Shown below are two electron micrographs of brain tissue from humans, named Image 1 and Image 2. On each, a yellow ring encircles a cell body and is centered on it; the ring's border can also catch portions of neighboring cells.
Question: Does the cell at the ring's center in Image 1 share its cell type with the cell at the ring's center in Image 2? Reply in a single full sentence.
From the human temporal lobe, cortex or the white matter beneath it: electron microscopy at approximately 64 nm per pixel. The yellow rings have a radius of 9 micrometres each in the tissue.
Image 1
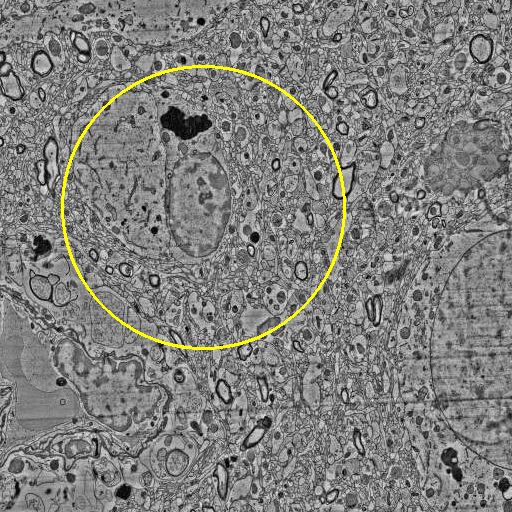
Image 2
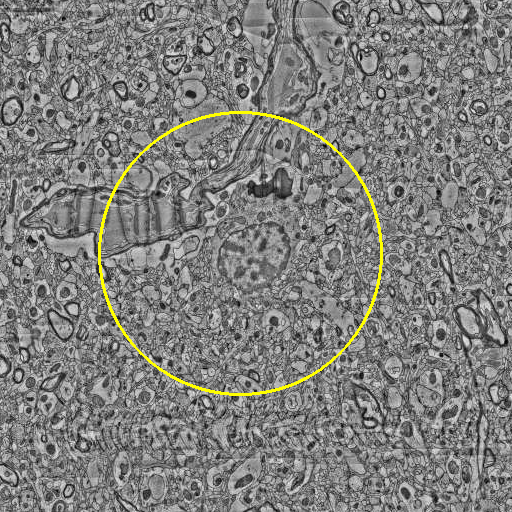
Yes, the two cells at the ring centers, in Image 1 and Image 2, share one cell type.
